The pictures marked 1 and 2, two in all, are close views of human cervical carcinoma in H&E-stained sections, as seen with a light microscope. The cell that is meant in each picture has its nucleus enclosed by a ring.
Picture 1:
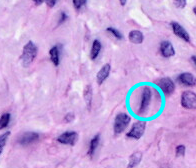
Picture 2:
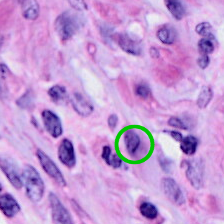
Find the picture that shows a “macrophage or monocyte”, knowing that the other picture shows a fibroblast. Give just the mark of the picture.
2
